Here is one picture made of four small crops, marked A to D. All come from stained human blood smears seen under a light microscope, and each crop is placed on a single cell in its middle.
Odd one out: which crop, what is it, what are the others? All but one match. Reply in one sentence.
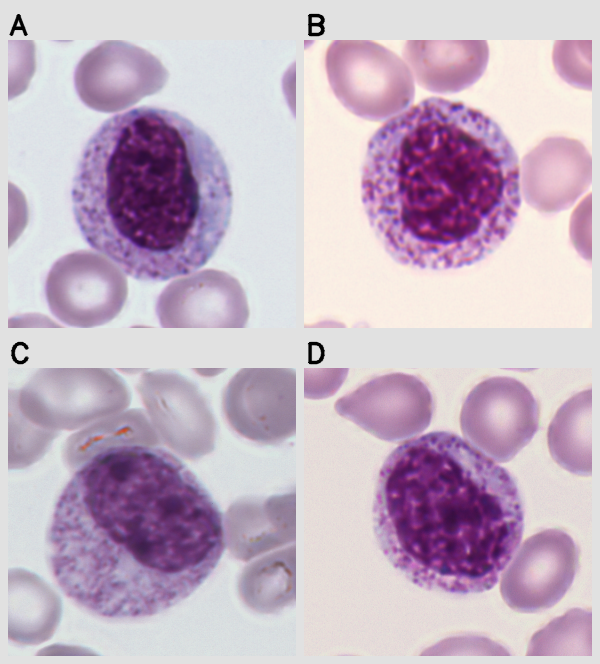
In this set, all crops show metamyelocytes apart from crop B, which is a myelocyte.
